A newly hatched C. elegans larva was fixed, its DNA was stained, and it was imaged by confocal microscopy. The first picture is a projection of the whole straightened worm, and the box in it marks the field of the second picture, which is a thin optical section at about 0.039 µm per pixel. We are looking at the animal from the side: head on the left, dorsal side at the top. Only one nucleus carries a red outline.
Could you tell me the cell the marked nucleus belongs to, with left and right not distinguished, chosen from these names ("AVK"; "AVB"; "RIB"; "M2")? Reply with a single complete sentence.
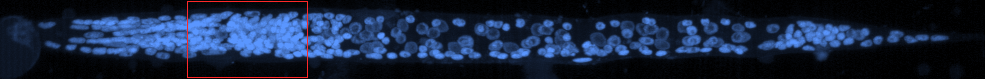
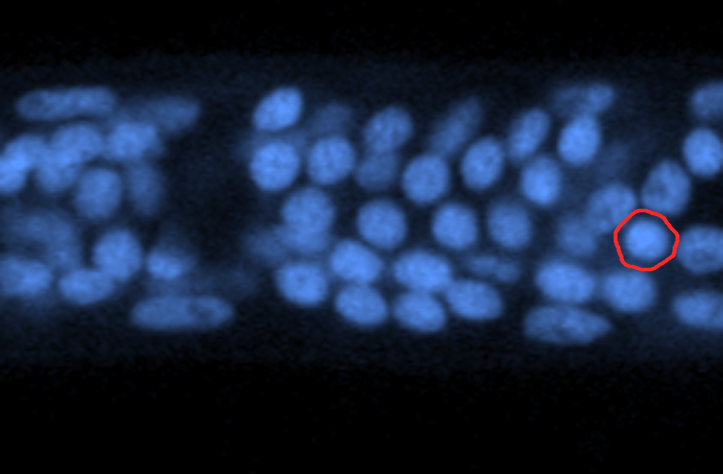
It belongs to M2, a neuron.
